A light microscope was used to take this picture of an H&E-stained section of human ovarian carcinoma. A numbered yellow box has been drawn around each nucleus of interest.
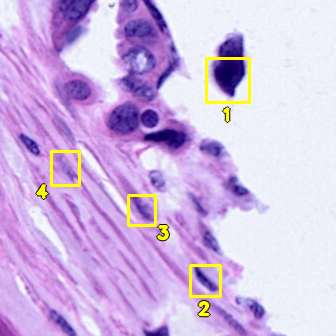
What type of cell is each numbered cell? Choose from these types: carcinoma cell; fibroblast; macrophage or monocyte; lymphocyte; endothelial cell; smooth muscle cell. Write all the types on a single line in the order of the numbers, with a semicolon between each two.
carcinoma cell; fibroblast; fibroblast; fibroblast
